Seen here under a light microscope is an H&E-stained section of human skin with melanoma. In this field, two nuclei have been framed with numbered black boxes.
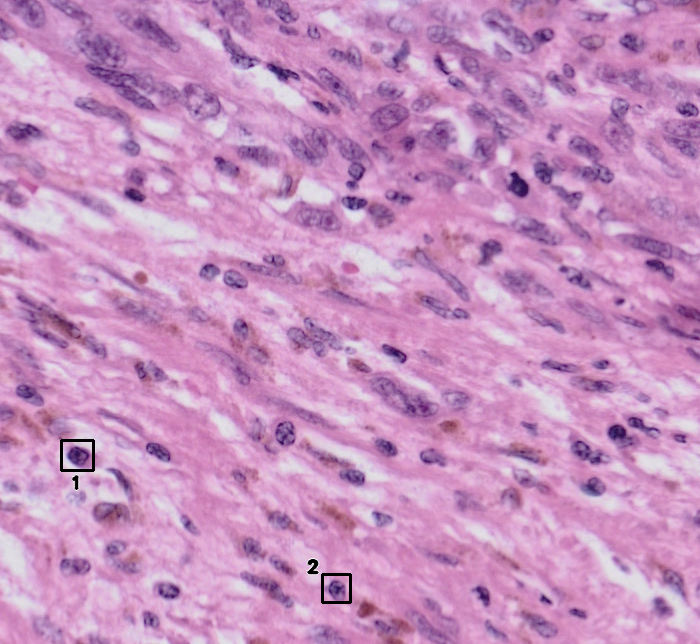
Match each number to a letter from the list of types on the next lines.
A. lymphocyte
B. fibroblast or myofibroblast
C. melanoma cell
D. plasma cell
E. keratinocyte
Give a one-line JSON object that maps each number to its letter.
{"1": "D", "2": "A"}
